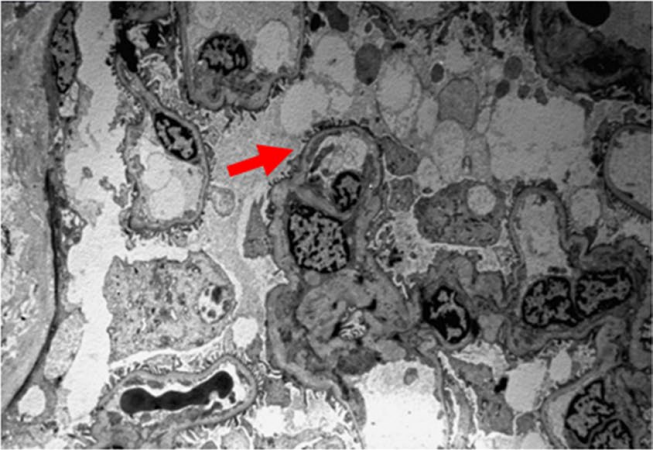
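A transmission electron micrograph of part of a glomerulus, showing capillary loops lined by thin walls, with cells bearing dark, irregular nuclei with clumped chromatin. Along the outer side of some capillary walls the covering epithelial cytoplasm lies as a continuous band rather than a row of separate small foot processes. Pale, rounded vacuole-like spaces fill much of the upper central area. A capillary lumen at the bottom holds a dark red blood cell. Other cells with dark nuclei lie between the loops.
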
